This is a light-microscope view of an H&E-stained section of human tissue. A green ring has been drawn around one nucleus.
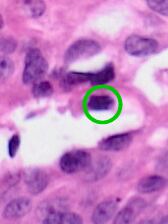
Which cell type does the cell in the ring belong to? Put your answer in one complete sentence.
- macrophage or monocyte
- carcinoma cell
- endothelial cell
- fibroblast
The identity of the cell in the ring is that of a carcinoma cell.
